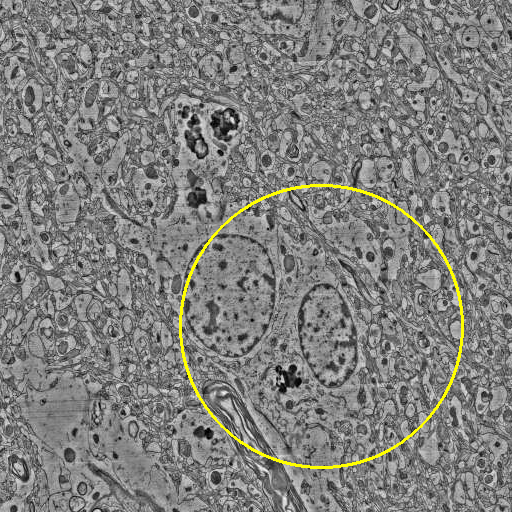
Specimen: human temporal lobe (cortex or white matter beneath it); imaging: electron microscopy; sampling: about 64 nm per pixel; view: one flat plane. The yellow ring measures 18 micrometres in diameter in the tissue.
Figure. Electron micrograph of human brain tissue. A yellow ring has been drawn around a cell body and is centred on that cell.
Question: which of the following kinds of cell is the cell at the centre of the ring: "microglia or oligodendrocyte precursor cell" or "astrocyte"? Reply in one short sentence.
The cell at the centre of the ring is an astrocyte.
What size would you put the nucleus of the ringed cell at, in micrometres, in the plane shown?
In this plane the nucleus is clearly longer than it is wide: roughly 6 by 4 micrometres.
